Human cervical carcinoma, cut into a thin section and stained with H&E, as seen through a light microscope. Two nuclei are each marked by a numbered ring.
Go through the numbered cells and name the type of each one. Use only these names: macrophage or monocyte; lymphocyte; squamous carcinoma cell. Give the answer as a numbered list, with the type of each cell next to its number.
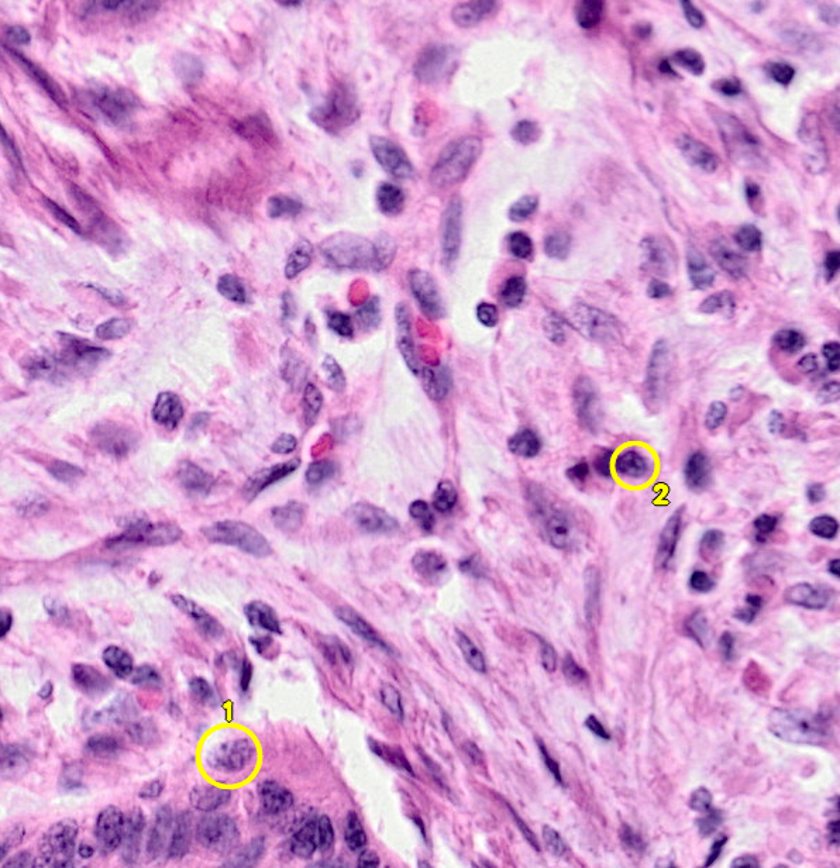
1. squamous carcinoma cell
2. lymphocyte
